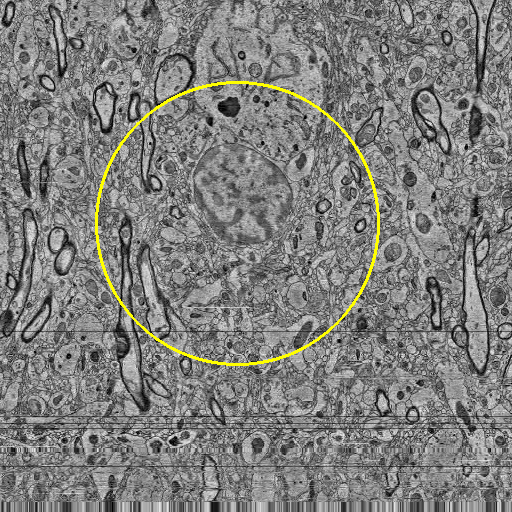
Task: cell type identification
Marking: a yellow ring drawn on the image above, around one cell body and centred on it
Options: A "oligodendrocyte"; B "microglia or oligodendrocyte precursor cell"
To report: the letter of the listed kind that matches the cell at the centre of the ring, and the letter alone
B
